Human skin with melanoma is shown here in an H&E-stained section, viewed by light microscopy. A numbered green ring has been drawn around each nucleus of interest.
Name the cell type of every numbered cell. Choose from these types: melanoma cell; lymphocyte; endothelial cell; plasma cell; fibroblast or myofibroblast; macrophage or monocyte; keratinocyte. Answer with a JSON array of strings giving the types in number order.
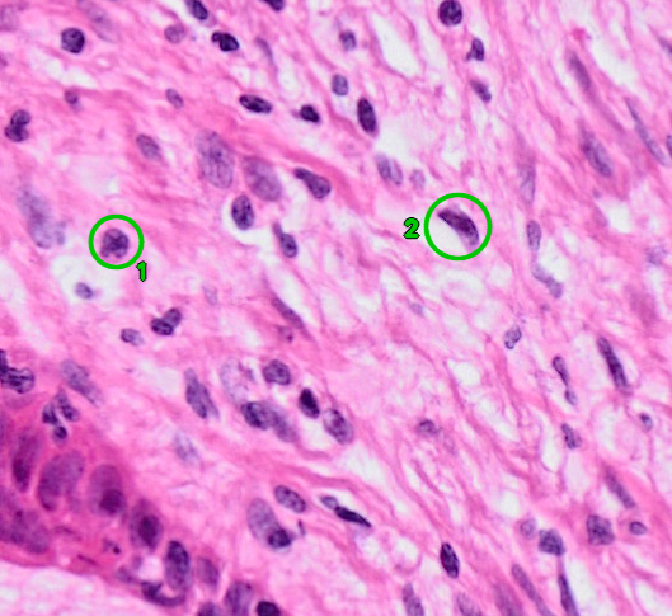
["lymphocyte", "fibroblast or myofibroblast"]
